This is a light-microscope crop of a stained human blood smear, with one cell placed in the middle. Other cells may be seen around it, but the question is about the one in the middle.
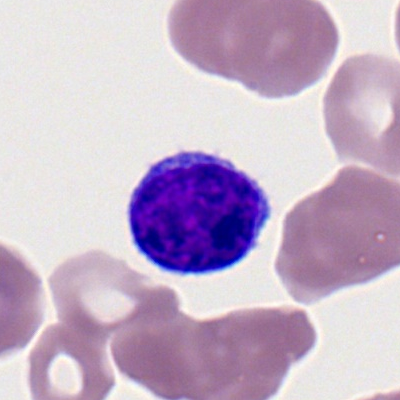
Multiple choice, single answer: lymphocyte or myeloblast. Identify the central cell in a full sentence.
The cell occupying the middle of the crop is a lymphocyte.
